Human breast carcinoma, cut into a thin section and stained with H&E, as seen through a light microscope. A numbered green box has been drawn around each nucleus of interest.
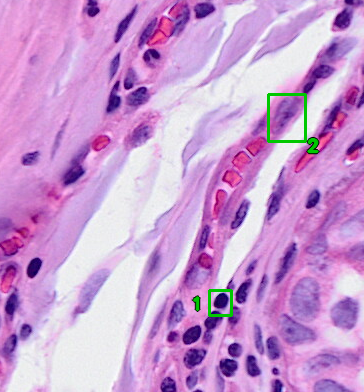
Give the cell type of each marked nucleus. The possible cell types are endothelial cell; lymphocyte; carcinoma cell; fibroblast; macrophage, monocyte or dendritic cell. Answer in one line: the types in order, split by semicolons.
lymphocyte; endothelial cell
